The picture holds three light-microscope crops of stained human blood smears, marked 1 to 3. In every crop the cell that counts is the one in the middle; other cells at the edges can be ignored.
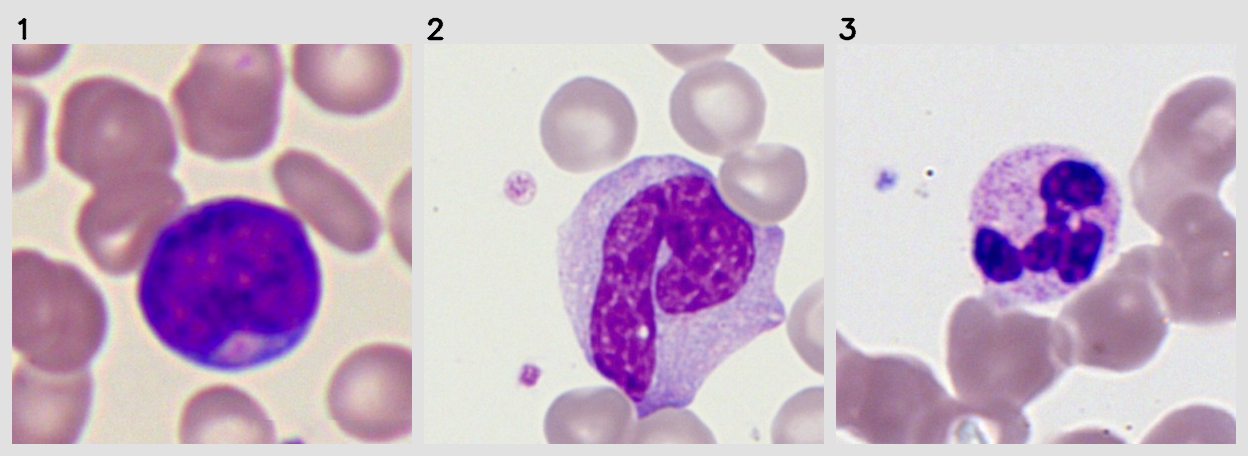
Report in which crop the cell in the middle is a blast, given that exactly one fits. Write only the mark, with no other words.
1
